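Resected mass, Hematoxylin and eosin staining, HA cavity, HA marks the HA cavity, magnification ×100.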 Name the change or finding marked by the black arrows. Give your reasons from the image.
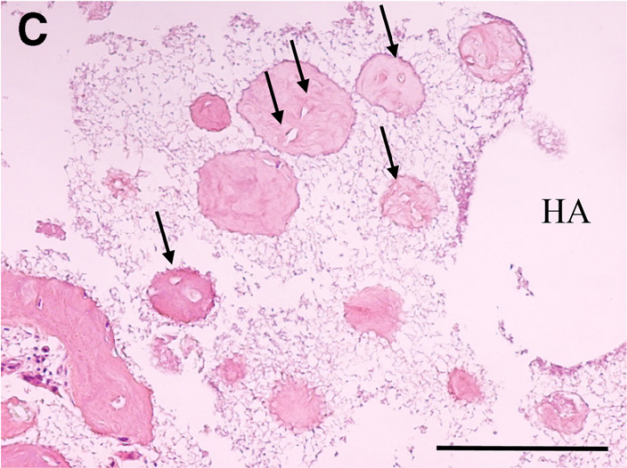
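The arrowed round islands are pink, homogeneous matrix. The islands show no nuclei in their matrix, only a few empty clefts.
Hence: necrotic bone without osteocytes.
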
